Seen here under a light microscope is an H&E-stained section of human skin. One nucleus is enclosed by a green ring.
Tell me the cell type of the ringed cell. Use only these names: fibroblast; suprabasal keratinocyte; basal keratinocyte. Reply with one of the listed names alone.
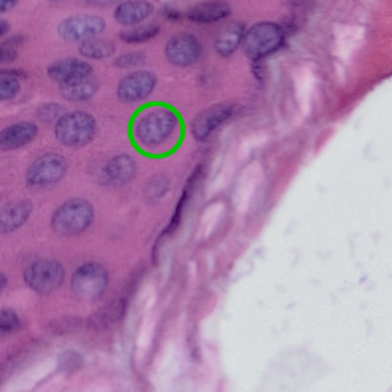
suprabasal keratinocyte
